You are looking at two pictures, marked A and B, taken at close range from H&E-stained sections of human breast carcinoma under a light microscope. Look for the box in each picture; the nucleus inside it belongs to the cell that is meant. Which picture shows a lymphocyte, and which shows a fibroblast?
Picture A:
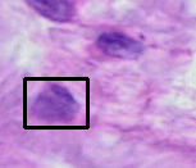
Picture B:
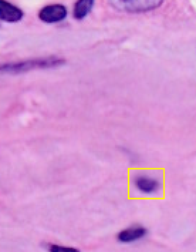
A: fibroblast
B: lymphocyte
